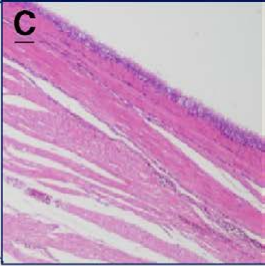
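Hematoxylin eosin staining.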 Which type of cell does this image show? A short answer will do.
Ciliated columnar cells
